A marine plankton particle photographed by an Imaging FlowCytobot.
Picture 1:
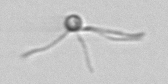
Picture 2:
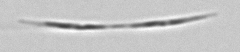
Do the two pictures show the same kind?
No: Ophiaster, then Pseudo-nitzschia.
